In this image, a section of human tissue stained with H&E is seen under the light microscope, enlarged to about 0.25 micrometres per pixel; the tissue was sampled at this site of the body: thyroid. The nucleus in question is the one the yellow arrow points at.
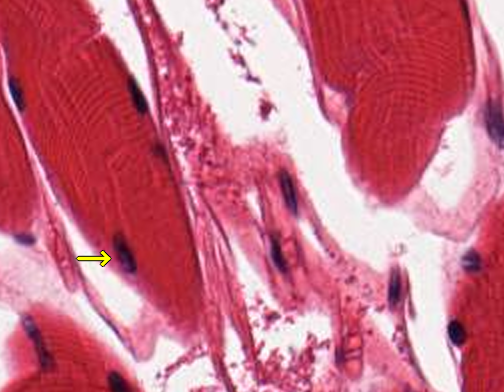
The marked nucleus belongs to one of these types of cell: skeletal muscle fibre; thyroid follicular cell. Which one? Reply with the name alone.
skeletal muscle fibre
